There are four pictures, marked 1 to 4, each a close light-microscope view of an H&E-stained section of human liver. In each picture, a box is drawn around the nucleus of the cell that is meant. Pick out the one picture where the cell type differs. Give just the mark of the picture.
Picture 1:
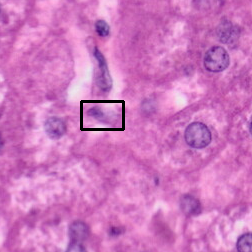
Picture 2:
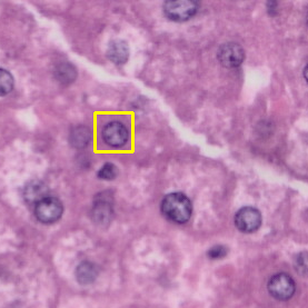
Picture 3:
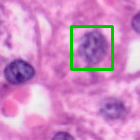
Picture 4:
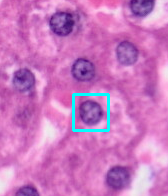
1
